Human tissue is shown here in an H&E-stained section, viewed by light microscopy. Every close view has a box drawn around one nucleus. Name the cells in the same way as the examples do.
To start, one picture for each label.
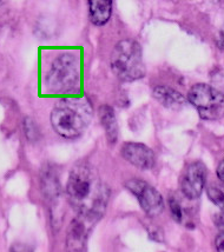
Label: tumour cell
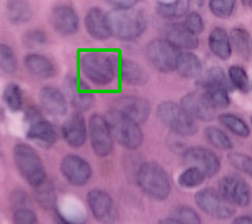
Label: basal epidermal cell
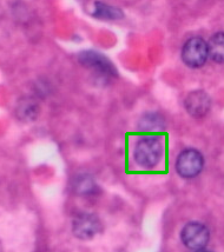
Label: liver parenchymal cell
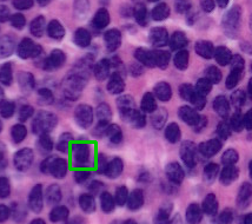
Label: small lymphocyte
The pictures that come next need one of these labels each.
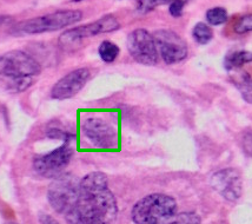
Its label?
tumour cell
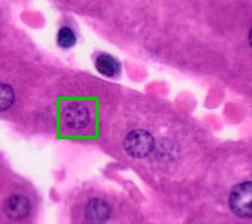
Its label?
liver parenchymal cell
